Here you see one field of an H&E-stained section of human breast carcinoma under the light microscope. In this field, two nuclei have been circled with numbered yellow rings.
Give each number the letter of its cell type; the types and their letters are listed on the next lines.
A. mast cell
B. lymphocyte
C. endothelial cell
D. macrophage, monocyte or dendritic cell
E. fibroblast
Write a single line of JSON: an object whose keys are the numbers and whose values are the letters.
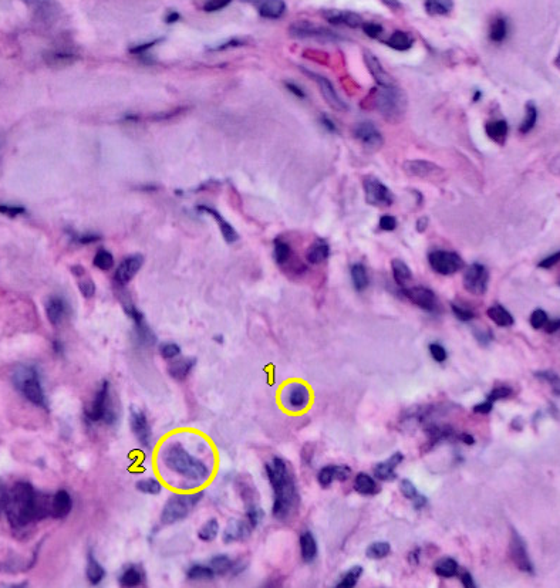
{"1": "B", "2": "A"}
